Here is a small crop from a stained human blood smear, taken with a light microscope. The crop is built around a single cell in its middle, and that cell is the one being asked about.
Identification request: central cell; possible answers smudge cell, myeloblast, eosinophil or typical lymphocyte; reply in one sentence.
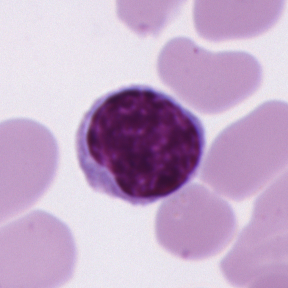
What the crop centres on is a myeloblast.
